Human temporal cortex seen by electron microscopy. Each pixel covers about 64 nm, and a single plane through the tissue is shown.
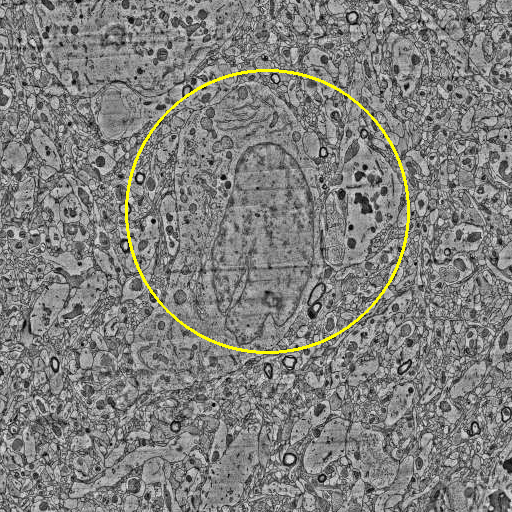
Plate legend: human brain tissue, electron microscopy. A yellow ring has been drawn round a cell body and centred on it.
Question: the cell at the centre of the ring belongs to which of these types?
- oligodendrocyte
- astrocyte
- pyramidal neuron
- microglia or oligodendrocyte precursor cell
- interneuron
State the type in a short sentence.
The cell in the middle of the ring is an interneuron.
